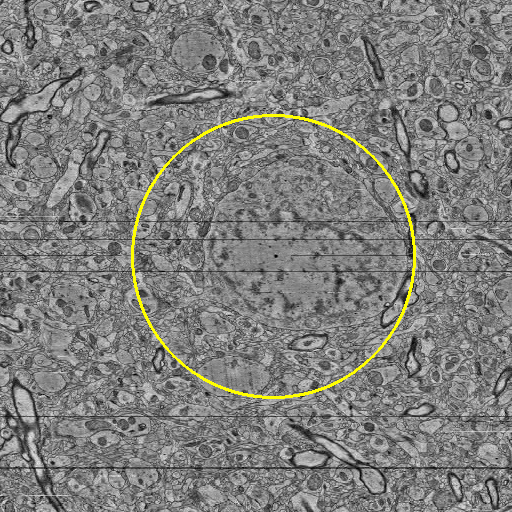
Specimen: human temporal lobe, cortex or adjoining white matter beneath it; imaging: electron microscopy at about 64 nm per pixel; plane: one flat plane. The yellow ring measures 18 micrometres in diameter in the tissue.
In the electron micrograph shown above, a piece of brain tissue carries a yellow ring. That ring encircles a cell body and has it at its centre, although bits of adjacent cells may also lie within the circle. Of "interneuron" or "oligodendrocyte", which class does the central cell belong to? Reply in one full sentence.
The cell body at the centre of the yellow ring belongs to an interneuron.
